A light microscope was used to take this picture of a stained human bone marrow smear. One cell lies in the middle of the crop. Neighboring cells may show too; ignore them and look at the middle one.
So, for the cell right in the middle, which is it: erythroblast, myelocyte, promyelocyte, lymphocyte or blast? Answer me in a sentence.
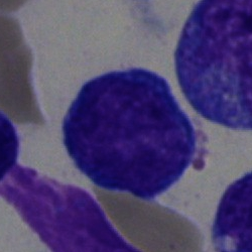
The center cell of this crop is a blast.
